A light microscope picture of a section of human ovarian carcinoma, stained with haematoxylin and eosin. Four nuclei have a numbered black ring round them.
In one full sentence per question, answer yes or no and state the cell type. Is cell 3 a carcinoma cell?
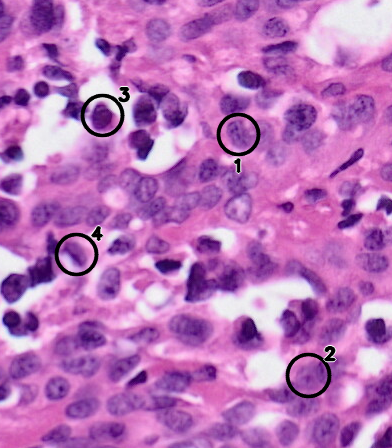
Yes, in the section, number 3 is a carcinoma cell.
